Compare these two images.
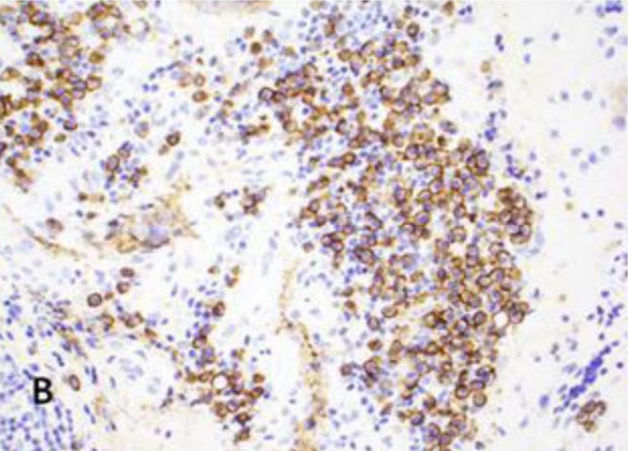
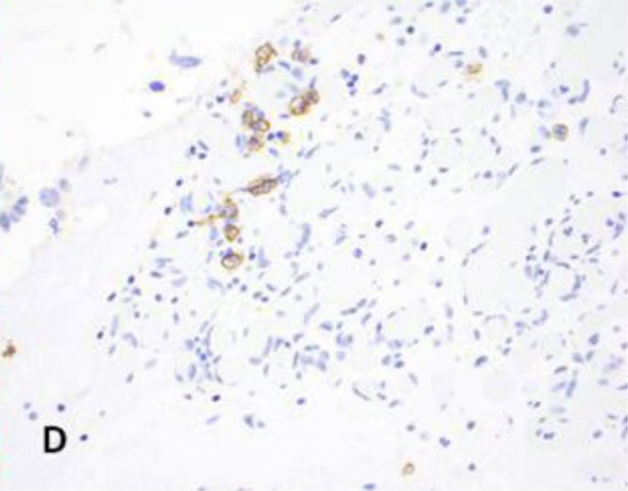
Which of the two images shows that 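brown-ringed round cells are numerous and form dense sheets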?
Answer: The first image.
